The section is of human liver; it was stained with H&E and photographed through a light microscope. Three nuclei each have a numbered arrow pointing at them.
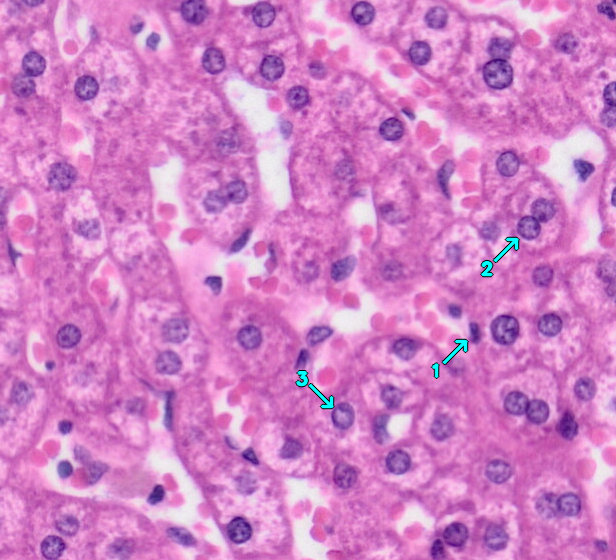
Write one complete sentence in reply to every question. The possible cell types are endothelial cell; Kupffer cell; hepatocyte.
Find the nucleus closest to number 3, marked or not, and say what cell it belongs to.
Number 3 lies closest to the nucleus of an endothelial cell.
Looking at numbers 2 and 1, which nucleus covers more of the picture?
Of the two, number 2 is bigger and takes up about 2 times the area of number 1.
